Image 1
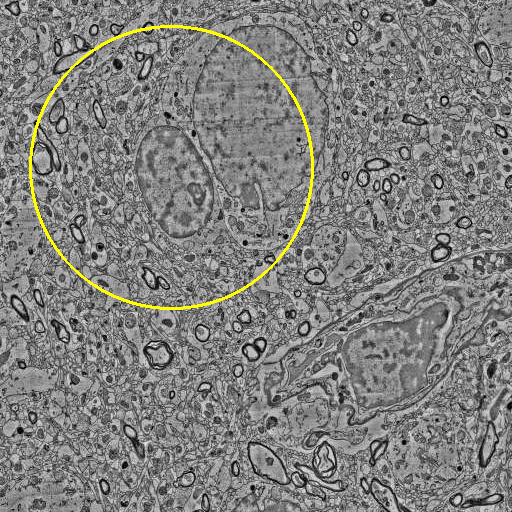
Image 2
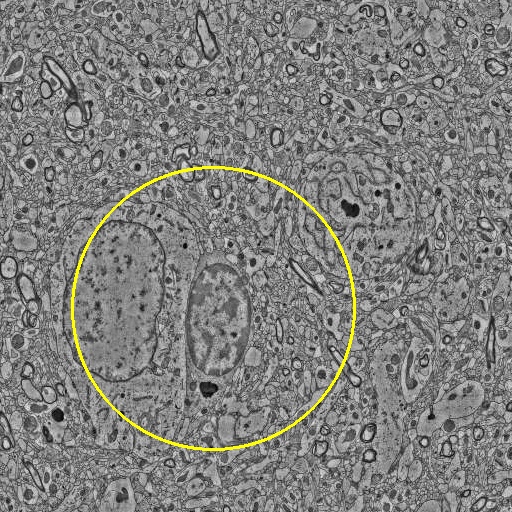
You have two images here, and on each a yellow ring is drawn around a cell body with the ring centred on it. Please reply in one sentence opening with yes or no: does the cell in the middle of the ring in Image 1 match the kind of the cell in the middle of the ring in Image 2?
Yes, the two images show cells of one kind at the centres of their rings.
